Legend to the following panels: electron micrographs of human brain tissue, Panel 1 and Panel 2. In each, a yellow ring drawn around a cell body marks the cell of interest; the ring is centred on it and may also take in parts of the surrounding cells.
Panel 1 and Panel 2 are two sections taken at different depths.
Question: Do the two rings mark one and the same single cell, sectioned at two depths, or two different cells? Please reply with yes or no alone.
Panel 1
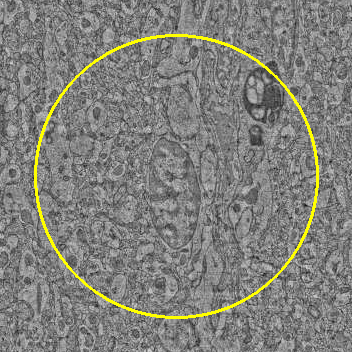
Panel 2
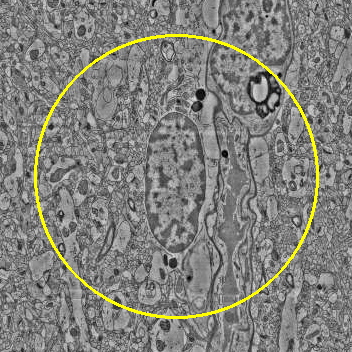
yes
